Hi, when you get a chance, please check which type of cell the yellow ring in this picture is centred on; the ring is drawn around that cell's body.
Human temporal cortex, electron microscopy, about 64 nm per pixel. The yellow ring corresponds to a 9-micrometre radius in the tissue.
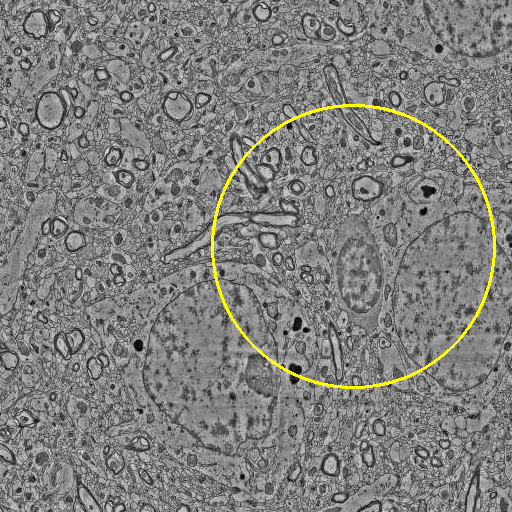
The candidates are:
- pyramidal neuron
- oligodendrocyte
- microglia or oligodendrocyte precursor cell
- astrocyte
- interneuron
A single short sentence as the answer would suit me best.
The ring is drawn around the body of an oligodendrocyte.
